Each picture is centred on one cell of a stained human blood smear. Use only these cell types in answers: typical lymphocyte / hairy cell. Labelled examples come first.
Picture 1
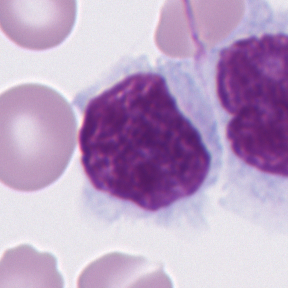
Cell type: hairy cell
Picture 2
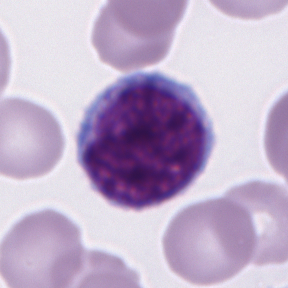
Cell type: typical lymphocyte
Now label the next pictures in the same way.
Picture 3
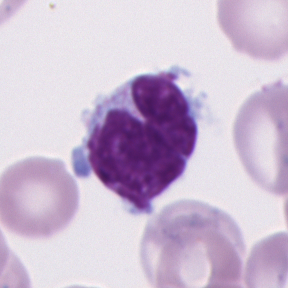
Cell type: typical lymphocyte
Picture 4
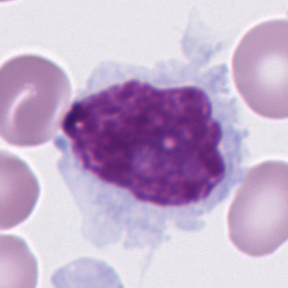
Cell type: hairy cell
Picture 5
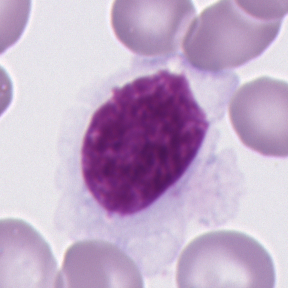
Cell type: hairy cell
